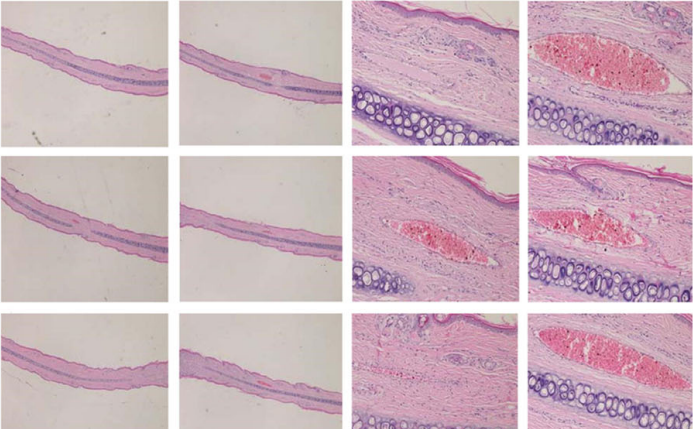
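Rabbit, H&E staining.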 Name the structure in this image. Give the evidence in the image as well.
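At higher magnification a large thin-walled lumen in the dermis is filled with red blood cells. The lumen lies between the skin surface and a purple cartilage plate.
Answer: veins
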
